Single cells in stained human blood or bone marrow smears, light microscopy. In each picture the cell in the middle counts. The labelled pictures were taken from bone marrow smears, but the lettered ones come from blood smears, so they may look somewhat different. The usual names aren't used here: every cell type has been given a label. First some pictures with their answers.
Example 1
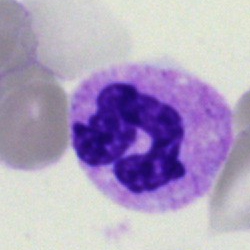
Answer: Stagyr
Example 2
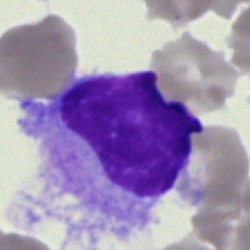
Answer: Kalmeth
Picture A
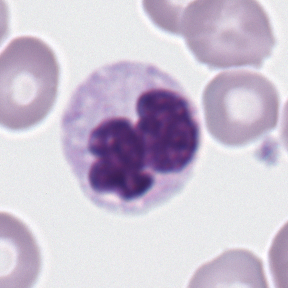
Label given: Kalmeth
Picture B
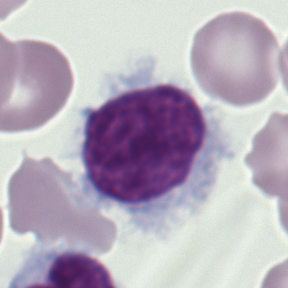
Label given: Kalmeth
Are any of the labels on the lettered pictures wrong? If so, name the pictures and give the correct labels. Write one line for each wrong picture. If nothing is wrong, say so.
Wrong: A (Kalmeth); correct: Stagyr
